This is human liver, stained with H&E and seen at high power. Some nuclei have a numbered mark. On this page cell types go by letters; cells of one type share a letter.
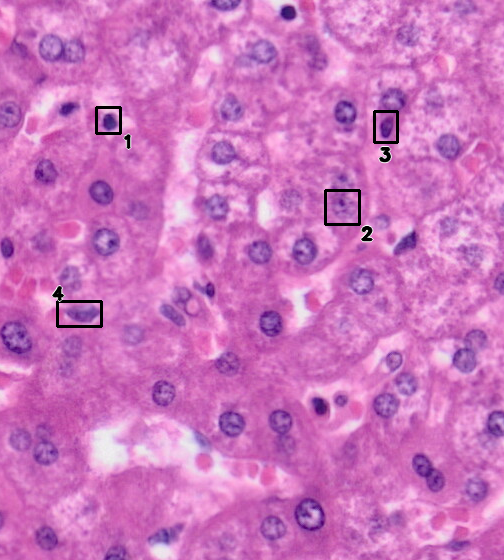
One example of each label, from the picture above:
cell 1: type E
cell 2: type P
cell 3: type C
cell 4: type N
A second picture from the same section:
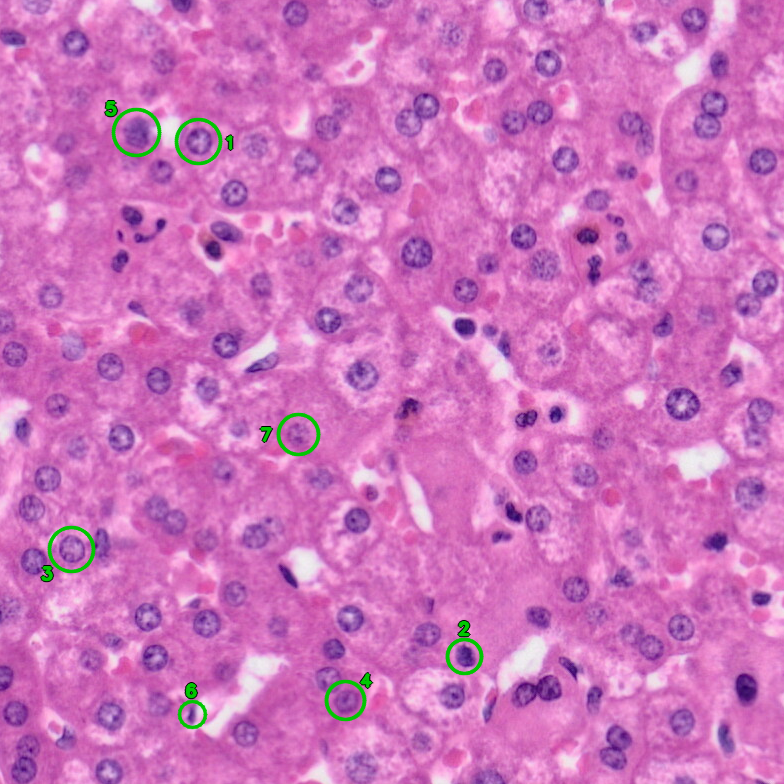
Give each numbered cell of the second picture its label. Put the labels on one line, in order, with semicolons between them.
type P; type C; type P; type P; type N; type N; type P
